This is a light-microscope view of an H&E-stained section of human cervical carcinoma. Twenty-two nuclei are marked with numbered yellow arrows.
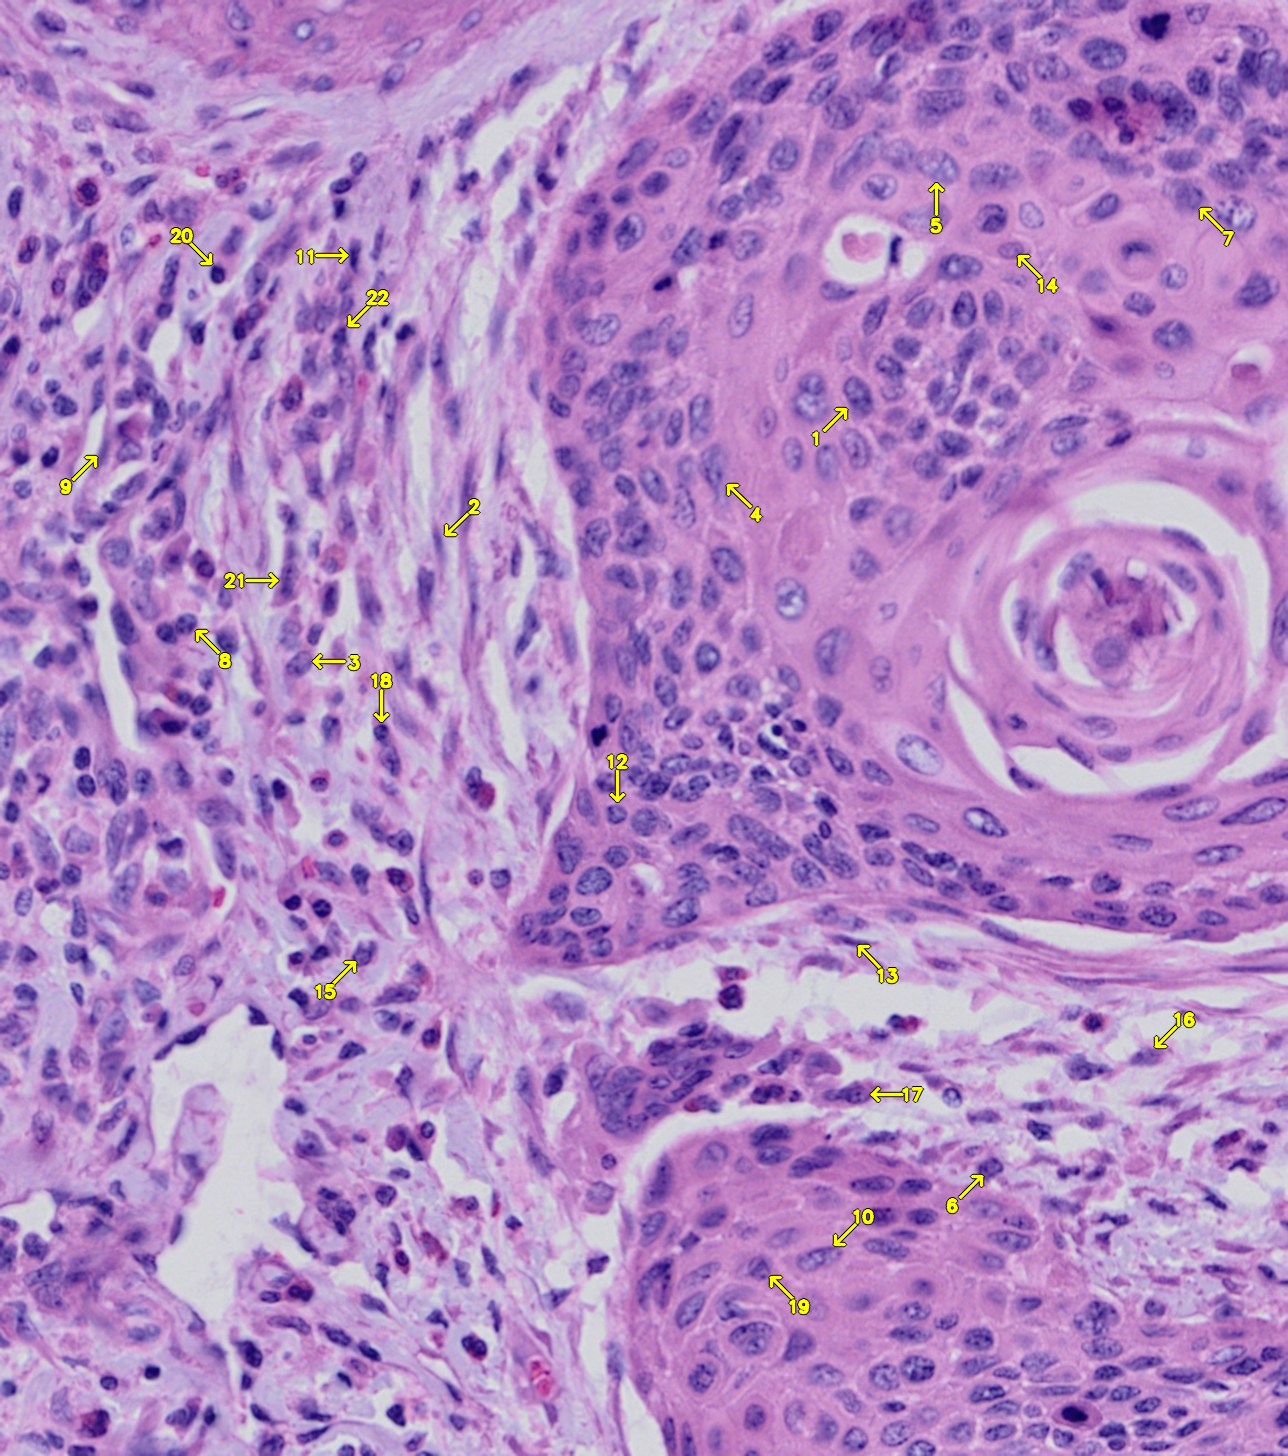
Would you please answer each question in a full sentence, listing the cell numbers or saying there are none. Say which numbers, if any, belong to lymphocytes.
Cells 8, 11, 18, 20 and 22 are recognised here as lymphocytes.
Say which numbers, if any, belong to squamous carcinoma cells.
The cells with numbers 1, 4, 5, 7, 10, 12, 14 and 19 are squamous carcinoma cells by type.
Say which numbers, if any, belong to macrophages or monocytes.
The cells numbered 3, 6, 15, 17 and 21 are of one kind: macrophages or monocytes.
